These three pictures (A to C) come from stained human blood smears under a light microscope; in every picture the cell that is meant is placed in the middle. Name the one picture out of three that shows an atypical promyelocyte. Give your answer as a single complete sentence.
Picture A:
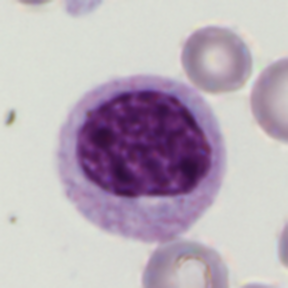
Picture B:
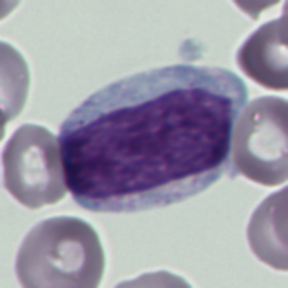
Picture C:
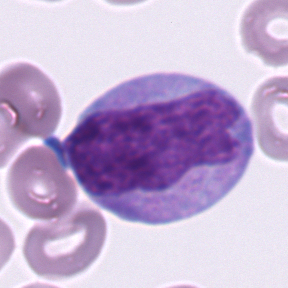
The cell in picture C is the atypical promyelocyte.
